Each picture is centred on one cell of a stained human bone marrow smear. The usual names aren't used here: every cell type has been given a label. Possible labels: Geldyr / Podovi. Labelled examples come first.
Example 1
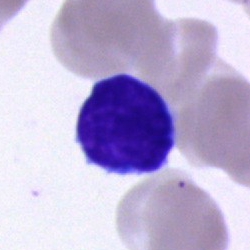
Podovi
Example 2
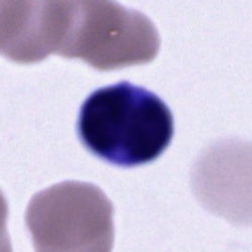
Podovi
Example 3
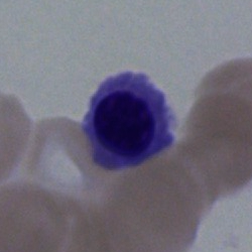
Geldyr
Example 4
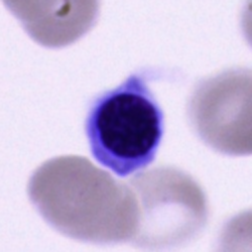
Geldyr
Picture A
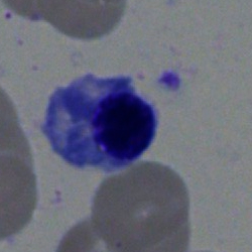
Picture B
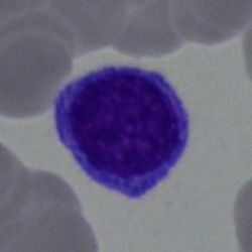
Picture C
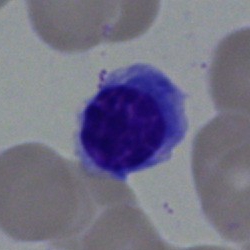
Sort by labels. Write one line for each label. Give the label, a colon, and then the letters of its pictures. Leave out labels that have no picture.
Geldyr: A, C
Podovi: B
